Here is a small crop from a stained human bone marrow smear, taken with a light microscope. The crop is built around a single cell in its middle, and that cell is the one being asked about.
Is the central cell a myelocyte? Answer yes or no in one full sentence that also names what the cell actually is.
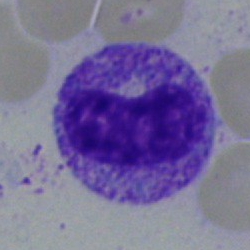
No, a metamyelocyte rather than a myelocyte is the cell at the centre of the crop.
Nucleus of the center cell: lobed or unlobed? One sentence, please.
If you check the nucleus, you will find one compact mass, round, oval or kidney-shaped.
